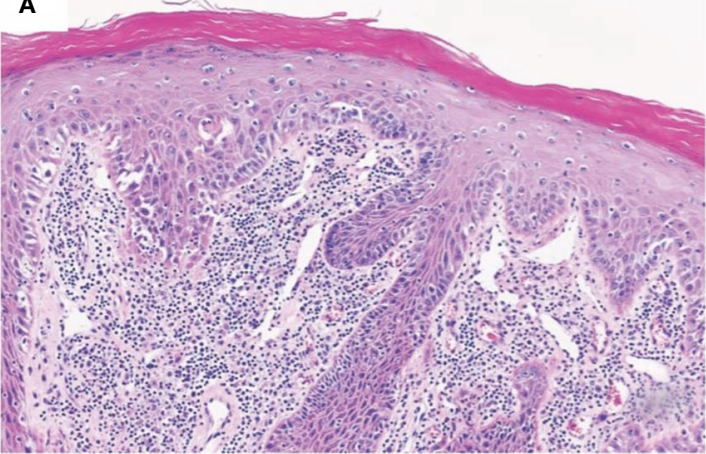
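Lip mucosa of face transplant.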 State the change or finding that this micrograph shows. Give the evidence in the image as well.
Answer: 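Sheets of small round dark nuclei fill the stroma beneath the epithelium. The infiltrate lies between and against the epithelial rete ridges.
Hence: dense subepithelial inflammatory infiltrate.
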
